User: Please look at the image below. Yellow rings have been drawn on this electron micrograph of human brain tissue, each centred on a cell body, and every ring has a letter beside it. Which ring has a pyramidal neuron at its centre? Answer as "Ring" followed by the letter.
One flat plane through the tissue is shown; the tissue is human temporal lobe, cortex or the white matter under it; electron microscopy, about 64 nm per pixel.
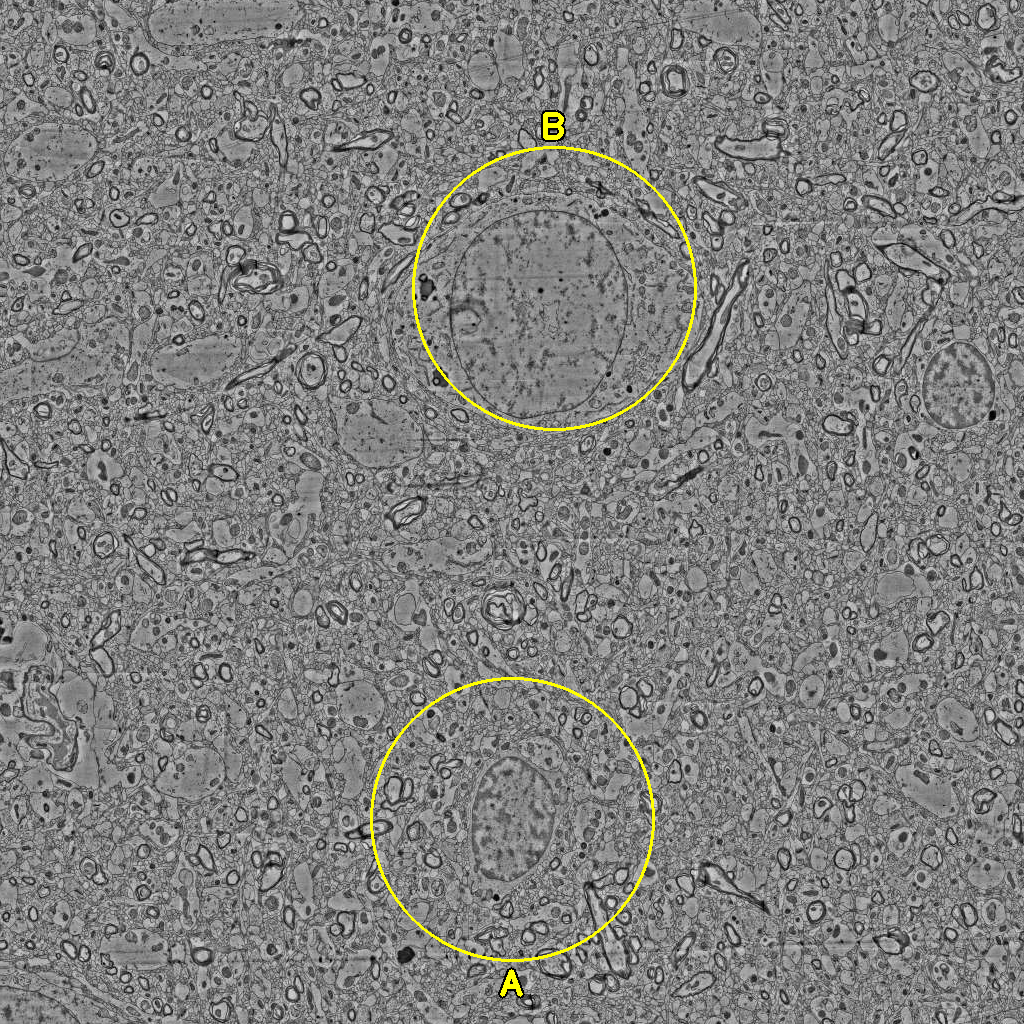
Ring B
